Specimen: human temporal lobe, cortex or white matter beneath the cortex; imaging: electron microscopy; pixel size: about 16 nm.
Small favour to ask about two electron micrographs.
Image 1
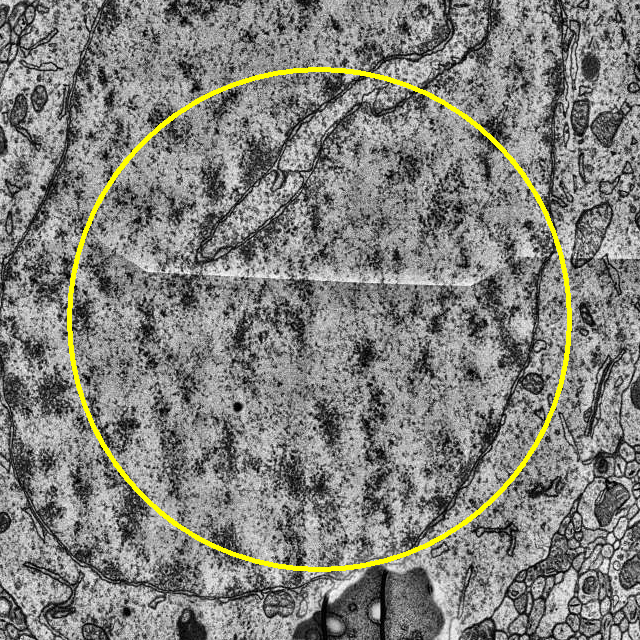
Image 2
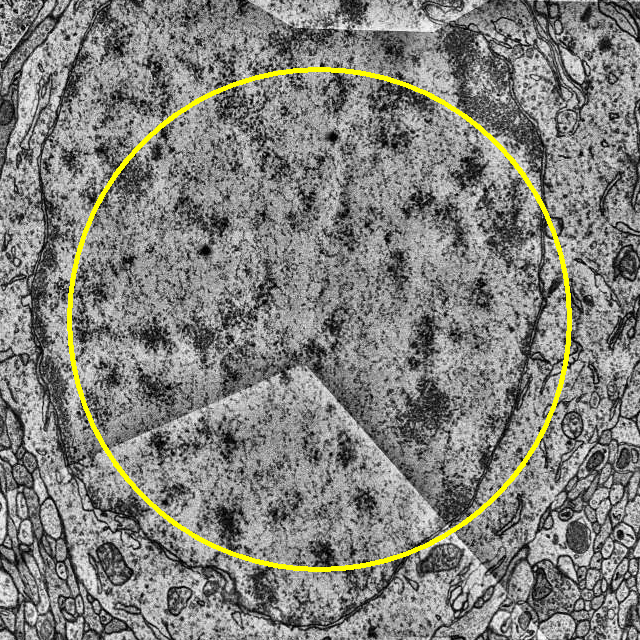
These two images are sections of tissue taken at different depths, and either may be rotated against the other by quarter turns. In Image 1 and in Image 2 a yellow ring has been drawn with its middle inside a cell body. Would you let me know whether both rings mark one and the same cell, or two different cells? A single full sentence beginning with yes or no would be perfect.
Yes, the two yellow circles hold the same cell.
